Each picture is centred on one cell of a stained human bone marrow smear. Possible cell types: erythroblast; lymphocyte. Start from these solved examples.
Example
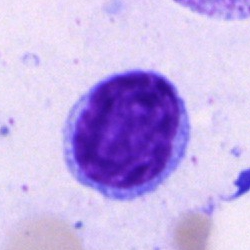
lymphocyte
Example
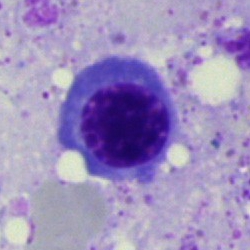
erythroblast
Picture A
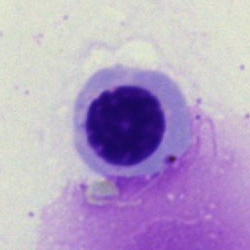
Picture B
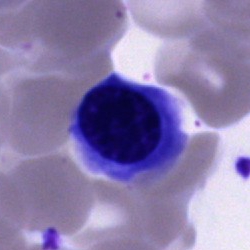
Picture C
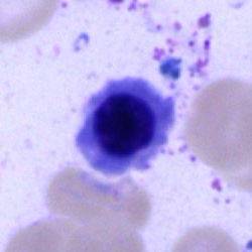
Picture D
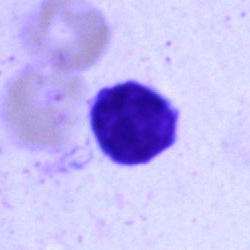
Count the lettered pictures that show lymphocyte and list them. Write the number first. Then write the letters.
Count: 1 (D)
